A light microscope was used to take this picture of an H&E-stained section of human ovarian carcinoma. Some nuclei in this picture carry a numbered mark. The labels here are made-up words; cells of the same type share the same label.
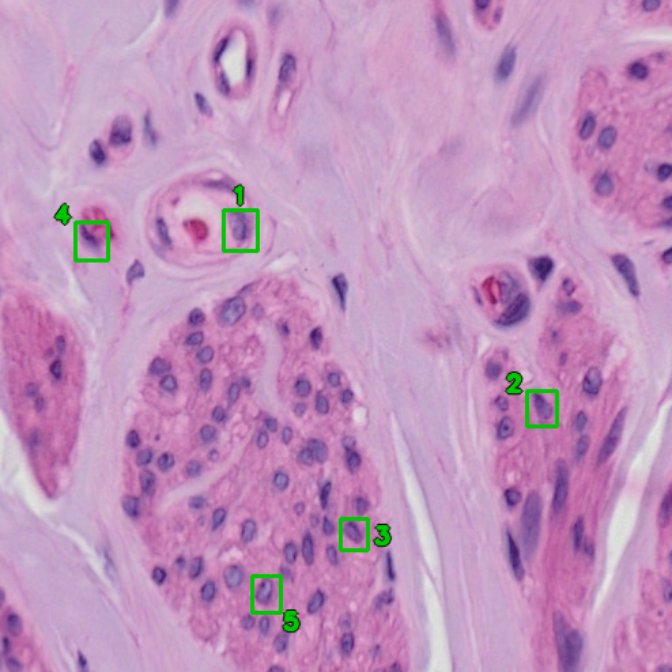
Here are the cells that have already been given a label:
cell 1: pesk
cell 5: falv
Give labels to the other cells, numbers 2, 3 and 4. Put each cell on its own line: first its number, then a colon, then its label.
2: falv
3: falv
4: pesk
